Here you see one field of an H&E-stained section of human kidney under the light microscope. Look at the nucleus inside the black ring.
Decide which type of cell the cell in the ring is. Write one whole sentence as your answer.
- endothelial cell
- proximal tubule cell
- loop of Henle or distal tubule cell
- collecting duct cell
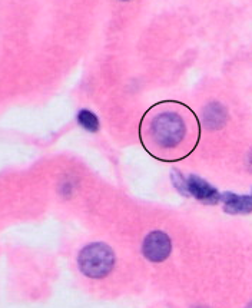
The cell meant here is a proximal tubule cell.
